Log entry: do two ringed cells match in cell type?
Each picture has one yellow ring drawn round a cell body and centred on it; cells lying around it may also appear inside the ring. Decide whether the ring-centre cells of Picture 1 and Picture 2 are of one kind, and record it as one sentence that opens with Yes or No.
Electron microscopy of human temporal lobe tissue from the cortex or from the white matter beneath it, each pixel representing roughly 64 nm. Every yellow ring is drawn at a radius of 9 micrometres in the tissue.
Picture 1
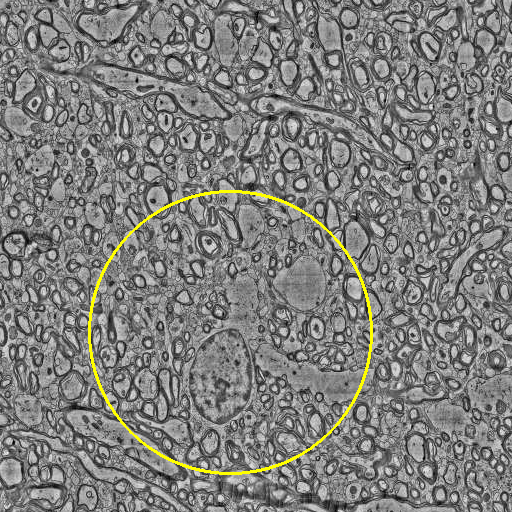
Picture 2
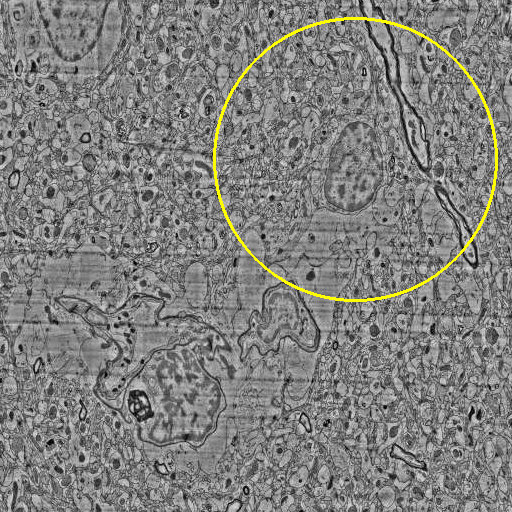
Yes, the cells at the ring centres of the two pictures belong to one kind.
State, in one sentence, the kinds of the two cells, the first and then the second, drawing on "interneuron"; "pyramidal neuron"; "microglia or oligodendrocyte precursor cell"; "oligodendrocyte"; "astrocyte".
In the first picture and in the second, the ring is centred on a microglial cell or oligodendrocyte precursor cell.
